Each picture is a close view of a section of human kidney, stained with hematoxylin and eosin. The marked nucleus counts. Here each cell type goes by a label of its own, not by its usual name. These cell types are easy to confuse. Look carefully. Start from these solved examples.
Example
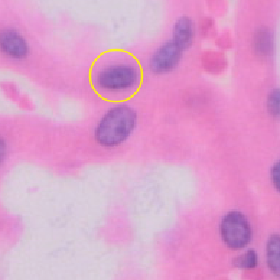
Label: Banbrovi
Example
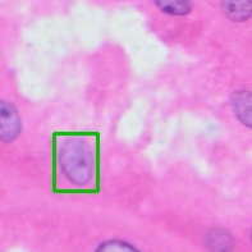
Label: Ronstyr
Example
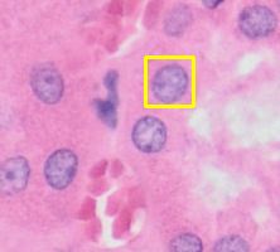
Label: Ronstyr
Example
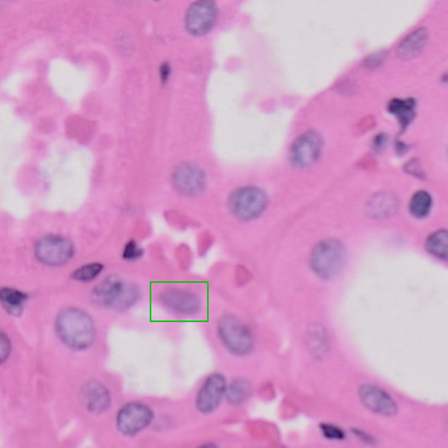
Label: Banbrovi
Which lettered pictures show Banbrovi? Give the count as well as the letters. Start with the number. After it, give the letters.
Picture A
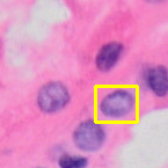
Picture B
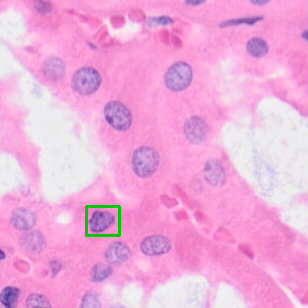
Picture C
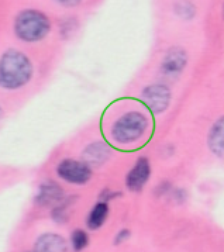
Count: 2 (A, C)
